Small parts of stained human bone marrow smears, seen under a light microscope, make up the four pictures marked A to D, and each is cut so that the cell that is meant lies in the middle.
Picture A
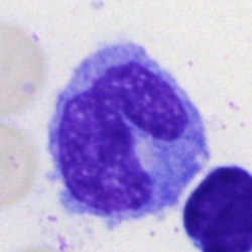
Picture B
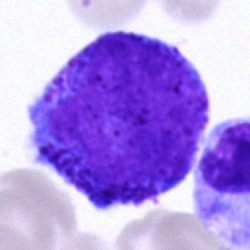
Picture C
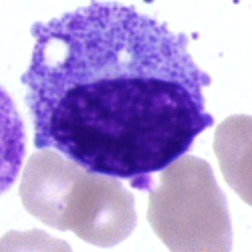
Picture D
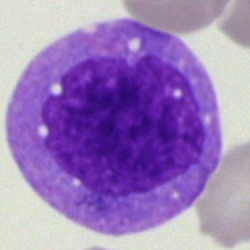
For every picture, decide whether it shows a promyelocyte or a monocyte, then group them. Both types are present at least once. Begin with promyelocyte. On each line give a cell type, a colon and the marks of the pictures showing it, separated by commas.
promyelocyte: B, C
monocyte: A, D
